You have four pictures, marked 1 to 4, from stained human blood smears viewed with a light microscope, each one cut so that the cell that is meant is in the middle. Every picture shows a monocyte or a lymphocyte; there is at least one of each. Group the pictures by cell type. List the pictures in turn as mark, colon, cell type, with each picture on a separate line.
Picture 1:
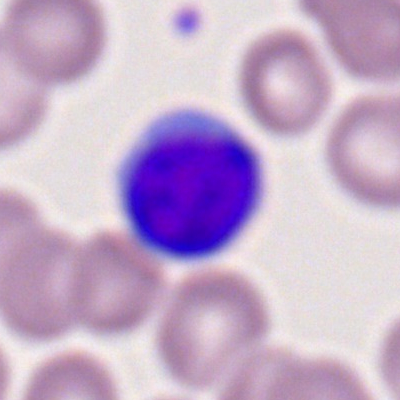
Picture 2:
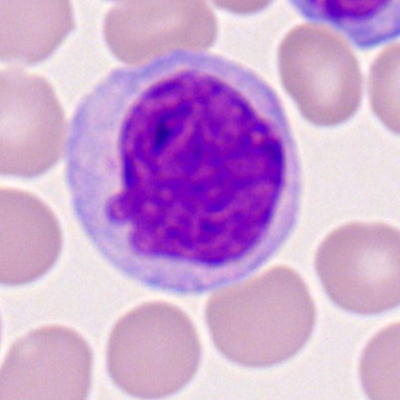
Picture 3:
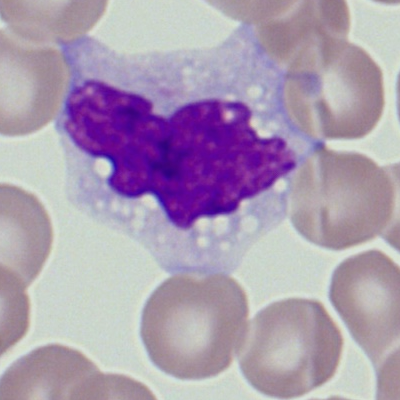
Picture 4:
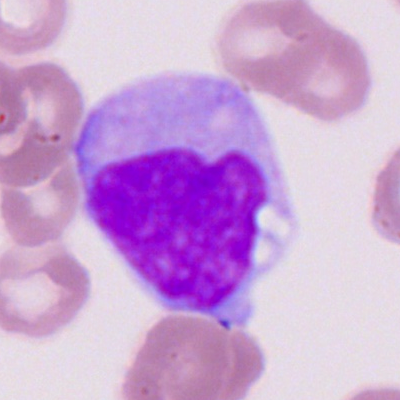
1: lymphocyte
2: monocyte
3: monocyte
4: monocyte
